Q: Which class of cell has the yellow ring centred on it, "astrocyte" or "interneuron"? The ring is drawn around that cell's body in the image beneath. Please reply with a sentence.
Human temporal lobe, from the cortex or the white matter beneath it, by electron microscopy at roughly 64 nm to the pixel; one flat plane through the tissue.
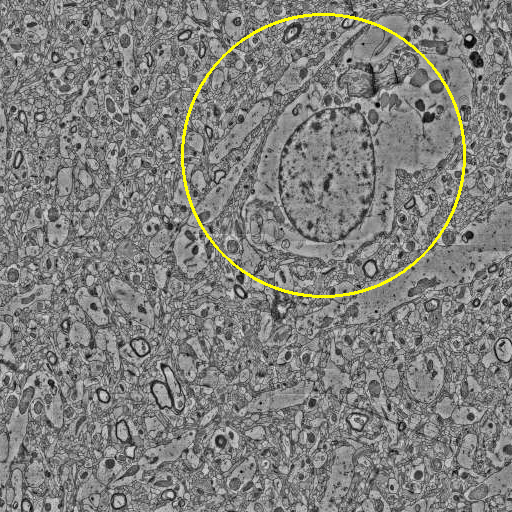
It is centred on an astrocyte.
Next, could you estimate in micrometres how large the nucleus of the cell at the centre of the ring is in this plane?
In this plane, the nucleus of the cell at the centre of the ring measures about 9 by 6 micrometres.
